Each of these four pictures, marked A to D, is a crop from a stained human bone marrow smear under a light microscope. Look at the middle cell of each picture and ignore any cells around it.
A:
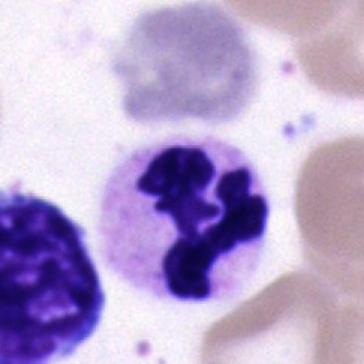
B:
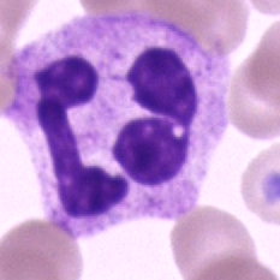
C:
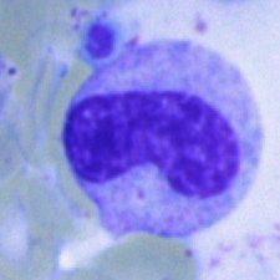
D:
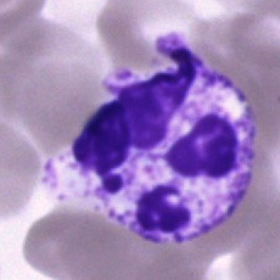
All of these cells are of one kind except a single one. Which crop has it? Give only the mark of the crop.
C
